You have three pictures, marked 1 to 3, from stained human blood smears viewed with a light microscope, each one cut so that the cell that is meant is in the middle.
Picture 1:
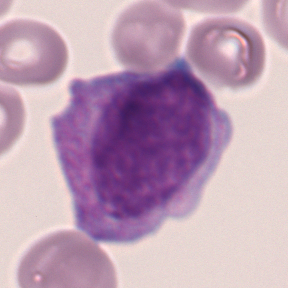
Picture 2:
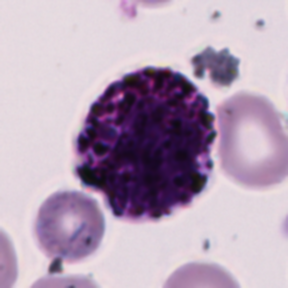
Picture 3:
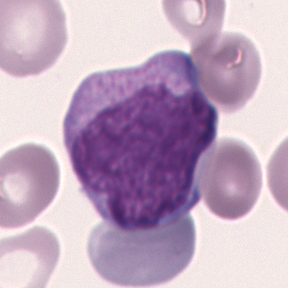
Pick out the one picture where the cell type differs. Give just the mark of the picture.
2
